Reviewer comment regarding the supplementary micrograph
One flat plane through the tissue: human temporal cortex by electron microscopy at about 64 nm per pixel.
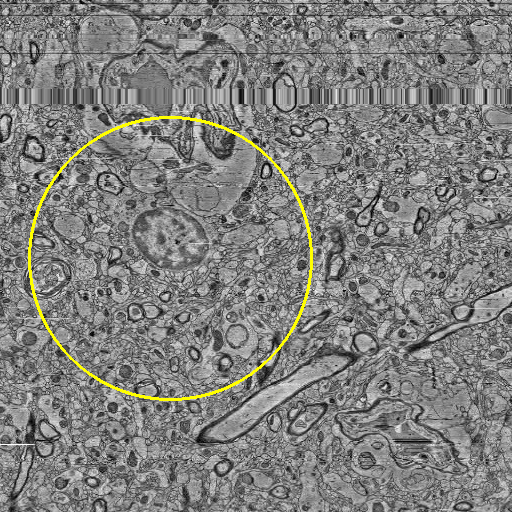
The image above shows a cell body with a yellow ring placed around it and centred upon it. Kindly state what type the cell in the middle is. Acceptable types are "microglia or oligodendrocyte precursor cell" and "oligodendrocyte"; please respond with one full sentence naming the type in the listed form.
In the image above, the cell on which the yellow ring is centred is an oligodendrocyte.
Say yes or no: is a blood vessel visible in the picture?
Yes.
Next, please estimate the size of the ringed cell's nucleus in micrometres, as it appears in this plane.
About 5 by 4 micrometers, in this plane.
